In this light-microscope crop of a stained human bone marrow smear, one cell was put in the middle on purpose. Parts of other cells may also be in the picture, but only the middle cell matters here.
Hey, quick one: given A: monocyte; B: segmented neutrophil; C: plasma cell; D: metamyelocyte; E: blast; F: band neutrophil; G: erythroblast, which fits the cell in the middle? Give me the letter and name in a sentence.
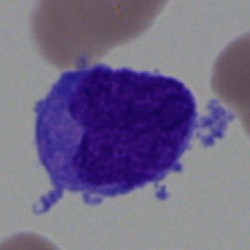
Option E gives the correct identity of the central cell, namely a blast.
